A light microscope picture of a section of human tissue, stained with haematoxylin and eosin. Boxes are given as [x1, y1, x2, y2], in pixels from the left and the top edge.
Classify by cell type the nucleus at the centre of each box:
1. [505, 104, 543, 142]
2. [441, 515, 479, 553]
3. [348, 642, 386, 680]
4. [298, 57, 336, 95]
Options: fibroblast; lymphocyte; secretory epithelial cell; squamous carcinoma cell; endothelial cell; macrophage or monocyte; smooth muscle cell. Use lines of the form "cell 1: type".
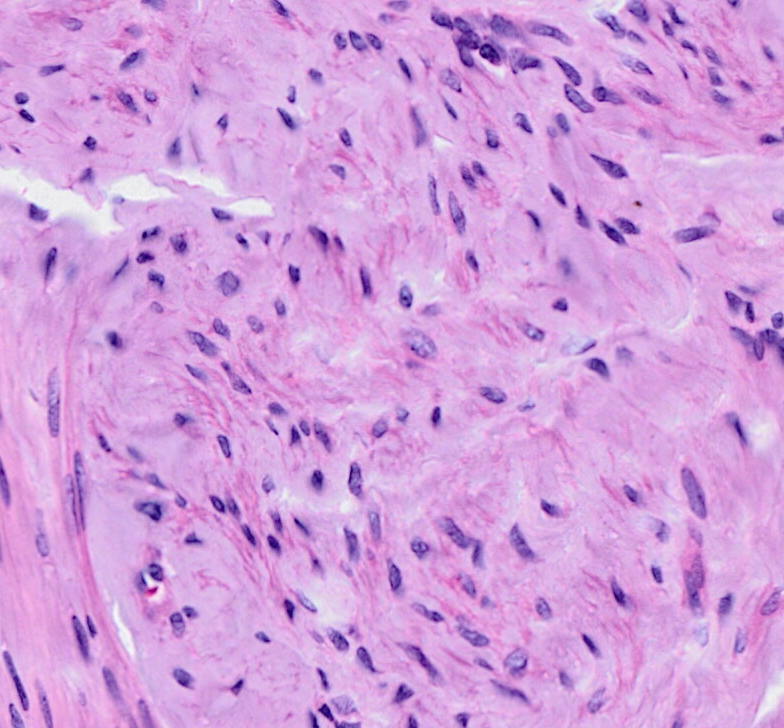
cell 1: fibroblast
cell 2: smooth muscle cell
cell 3: fibroblast
cell 4: fibroblast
